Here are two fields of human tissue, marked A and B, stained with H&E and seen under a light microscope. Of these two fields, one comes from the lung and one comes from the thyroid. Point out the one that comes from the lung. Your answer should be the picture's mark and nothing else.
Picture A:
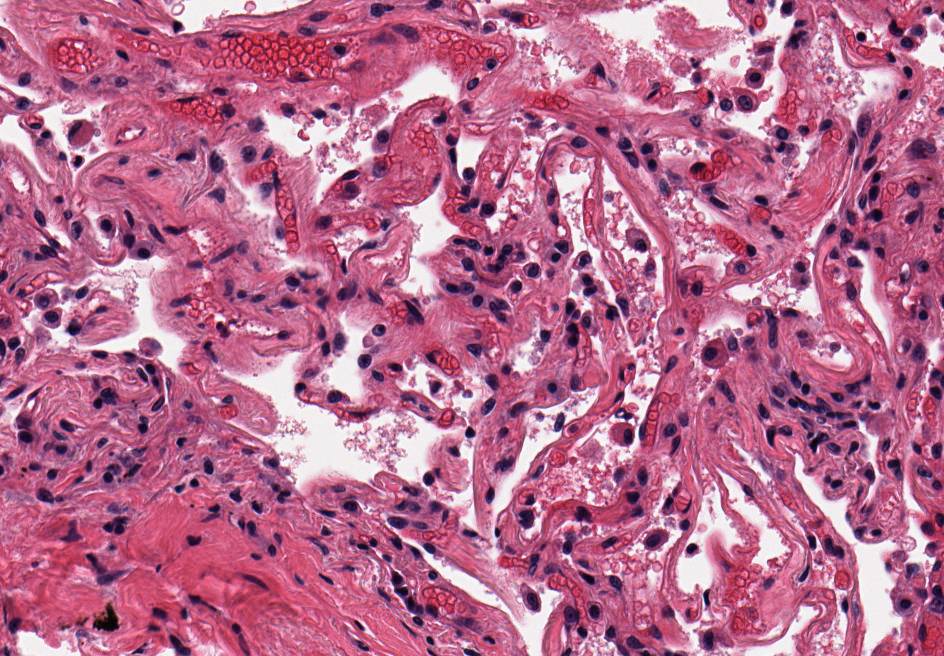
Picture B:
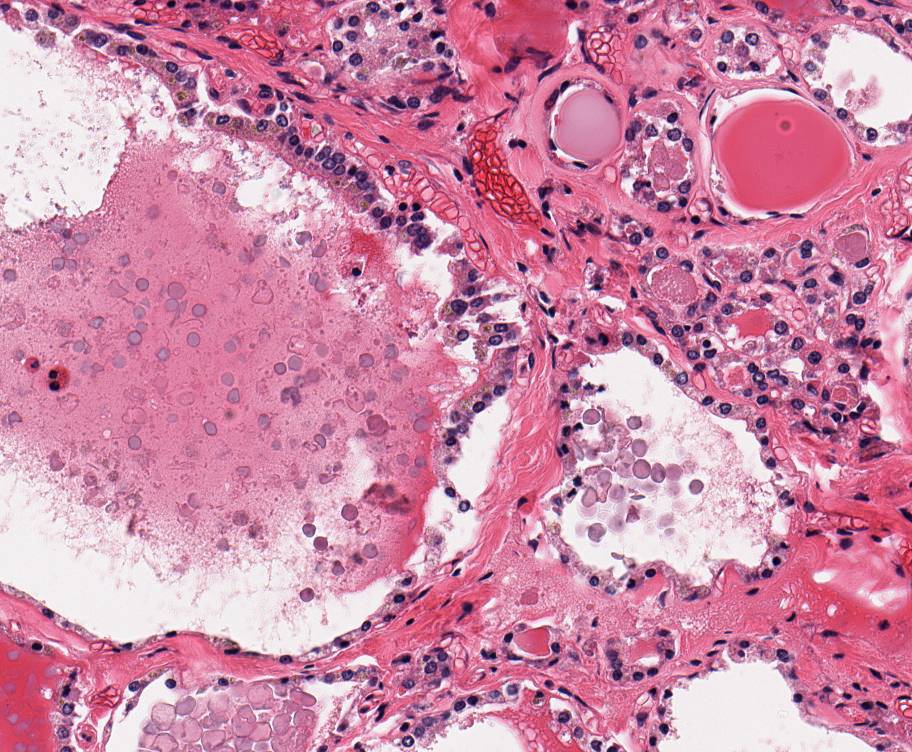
A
